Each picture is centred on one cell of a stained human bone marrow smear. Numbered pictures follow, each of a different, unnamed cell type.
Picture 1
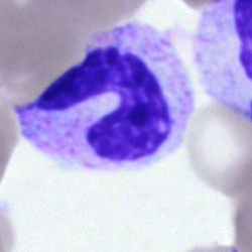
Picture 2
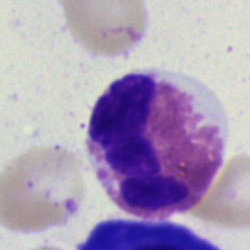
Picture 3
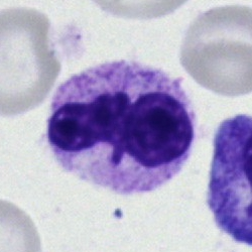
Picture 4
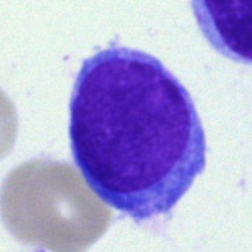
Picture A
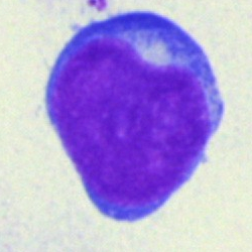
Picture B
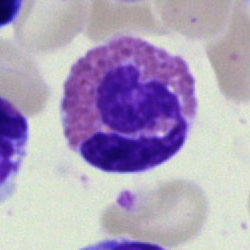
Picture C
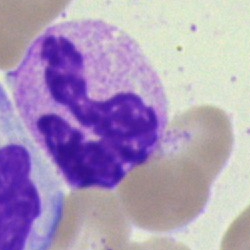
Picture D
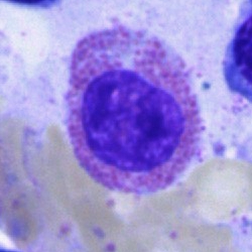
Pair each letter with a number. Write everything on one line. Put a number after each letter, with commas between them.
A 4, B 2, C 3, D 2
